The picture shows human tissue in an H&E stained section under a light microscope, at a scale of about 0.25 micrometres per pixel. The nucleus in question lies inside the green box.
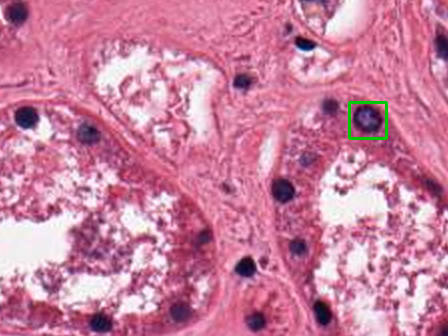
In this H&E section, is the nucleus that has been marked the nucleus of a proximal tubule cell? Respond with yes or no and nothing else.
yes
